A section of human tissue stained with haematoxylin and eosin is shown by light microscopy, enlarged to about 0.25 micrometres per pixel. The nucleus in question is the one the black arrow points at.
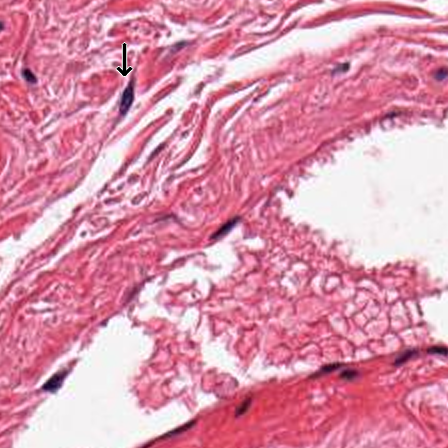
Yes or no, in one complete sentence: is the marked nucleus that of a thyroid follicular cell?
No, the marked nucleus belongs to a supporting cell, not to a thyroid follicular cell.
